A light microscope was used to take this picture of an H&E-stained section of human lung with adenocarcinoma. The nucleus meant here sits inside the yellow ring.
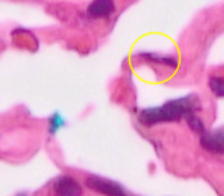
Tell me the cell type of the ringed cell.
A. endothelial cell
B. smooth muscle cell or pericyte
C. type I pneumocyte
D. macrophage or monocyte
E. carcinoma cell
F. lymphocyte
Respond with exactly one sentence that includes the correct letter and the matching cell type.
Hey, it is option C: the ringed cell is a type I pneumocyte.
